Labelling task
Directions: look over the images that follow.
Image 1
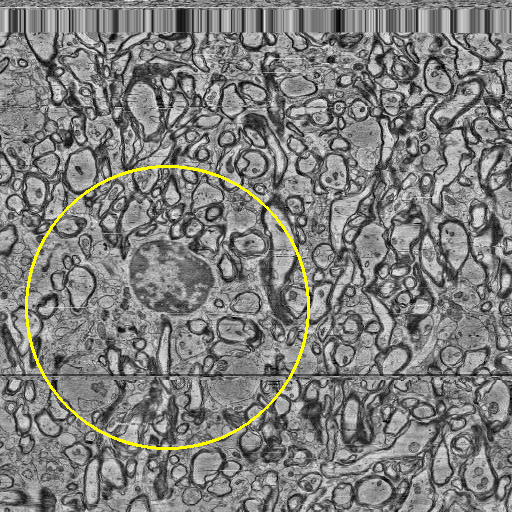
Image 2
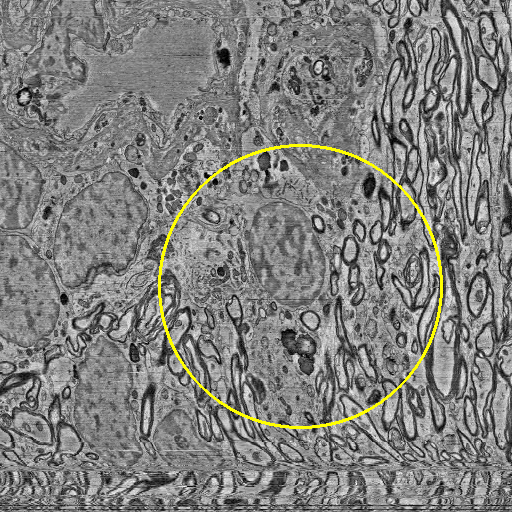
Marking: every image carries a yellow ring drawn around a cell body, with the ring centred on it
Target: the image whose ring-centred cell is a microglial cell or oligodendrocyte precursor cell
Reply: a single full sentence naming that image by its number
The requested cell sits at the ring's centre in Image 1.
